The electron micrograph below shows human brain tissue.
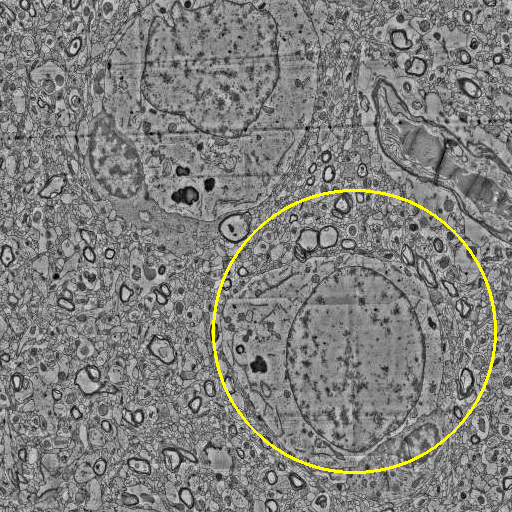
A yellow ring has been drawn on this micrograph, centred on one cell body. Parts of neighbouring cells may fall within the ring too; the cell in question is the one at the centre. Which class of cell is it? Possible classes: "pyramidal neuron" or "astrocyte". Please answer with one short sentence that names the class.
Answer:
In the centre of the ring sits a pyramidal neuron.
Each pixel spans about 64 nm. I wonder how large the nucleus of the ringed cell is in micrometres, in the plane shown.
In this plane, the nucleus is roughly 12 by 9 micrometres.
